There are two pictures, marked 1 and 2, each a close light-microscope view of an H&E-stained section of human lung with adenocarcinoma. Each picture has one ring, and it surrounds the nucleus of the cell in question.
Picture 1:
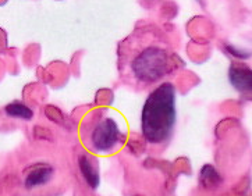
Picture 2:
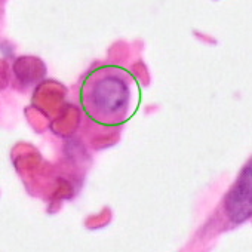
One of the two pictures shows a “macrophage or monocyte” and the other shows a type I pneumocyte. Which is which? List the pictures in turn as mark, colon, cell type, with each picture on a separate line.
1: type I pneumocyte
2: macrophage or monocyte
